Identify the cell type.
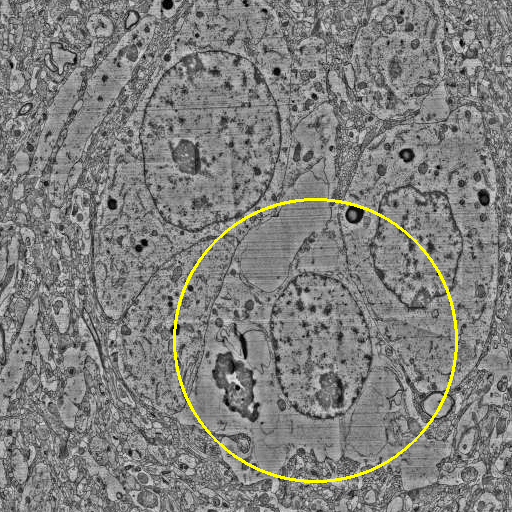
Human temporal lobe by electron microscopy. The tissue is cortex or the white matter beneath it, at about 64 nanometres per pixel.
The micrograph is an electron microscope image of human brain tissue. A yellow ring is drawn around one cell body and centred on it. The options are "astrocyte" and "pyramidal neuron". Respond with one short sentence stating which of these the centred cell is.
The cell body in the ring belongs to an astrocyte.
